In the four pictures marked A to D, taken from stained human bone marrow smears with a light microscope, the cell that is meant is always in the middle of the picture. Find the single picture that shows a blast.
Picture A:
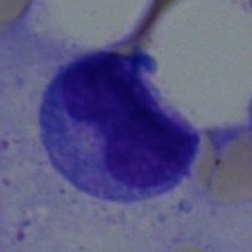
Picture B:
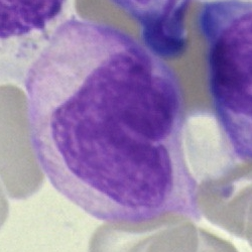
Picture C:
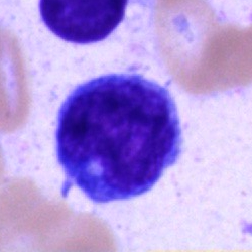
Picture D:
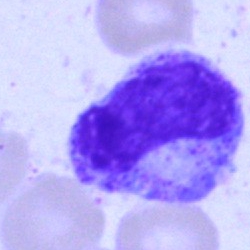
C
